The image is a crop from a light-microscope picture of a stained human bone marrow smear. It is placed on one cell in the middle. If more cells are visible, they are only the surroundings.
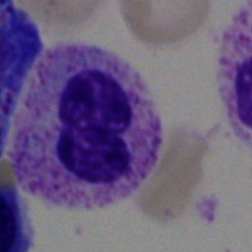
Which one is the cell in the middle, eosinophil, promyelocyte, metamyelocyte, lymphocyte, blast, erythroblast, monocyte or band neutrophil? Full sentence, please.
By classification, the middle cell of this crop is a metamyelocyte.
